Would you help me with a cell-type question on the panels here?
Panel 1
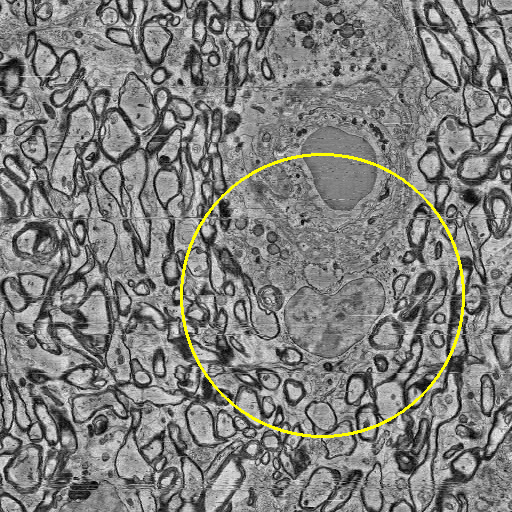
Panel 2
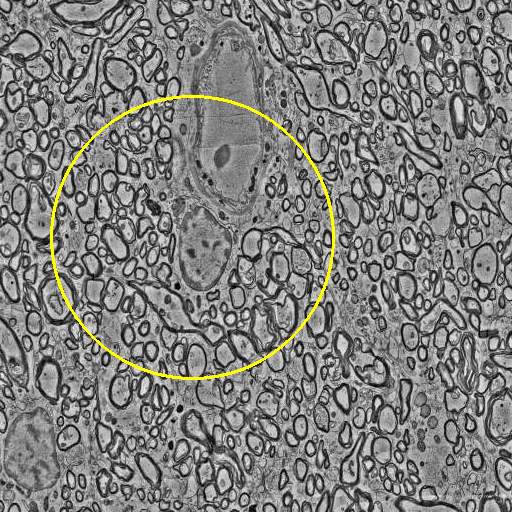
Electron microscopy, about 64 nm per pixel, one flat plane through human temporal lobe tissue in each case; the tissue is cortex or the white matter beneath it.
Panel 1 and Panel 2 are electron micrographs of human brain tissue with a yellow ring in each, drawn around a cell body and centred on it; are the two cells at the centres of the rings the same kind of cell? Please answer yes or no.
yes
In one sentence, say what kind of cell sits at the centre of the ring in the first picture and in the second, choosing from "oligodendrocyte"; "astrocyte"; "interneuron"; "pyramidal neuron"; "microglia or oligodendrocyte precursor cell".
In each of the two pictures, the ringed cell is a microglial cell or oligodendrocyte precursor cell.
